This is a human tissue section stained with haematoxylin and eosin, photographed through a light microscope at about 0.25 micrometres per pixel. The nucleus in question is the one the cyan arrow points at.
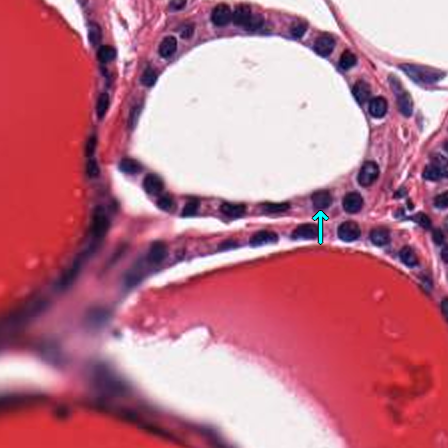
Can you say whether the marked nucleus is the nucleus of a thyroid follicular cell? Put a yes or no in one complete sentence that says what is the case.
Yes, the marked nucleus is found within a thyroid follicular cell.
